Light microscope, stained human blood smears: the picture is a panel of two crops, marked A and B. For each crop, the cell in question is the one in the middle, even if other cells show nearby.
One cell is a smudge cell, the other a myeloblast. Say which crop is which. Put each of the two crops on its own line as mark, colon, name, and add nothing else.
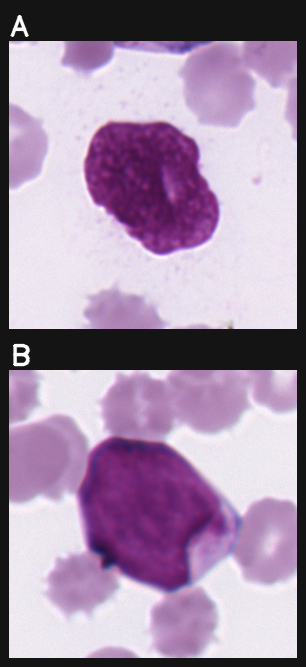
A: smudge cell
B: myeloblast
